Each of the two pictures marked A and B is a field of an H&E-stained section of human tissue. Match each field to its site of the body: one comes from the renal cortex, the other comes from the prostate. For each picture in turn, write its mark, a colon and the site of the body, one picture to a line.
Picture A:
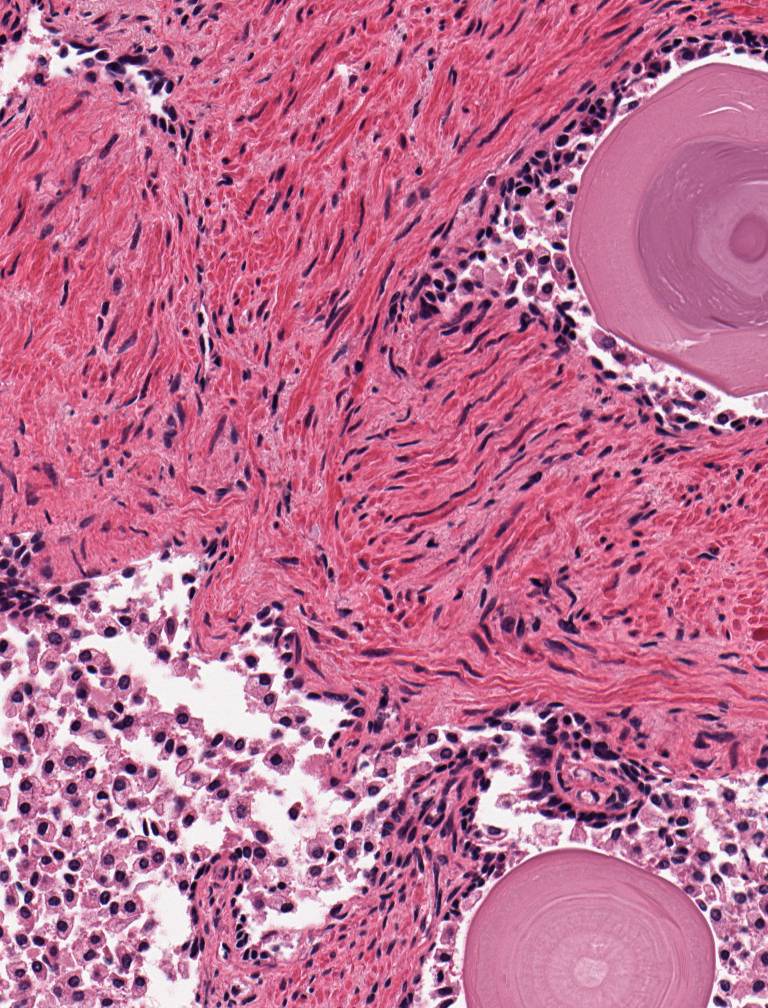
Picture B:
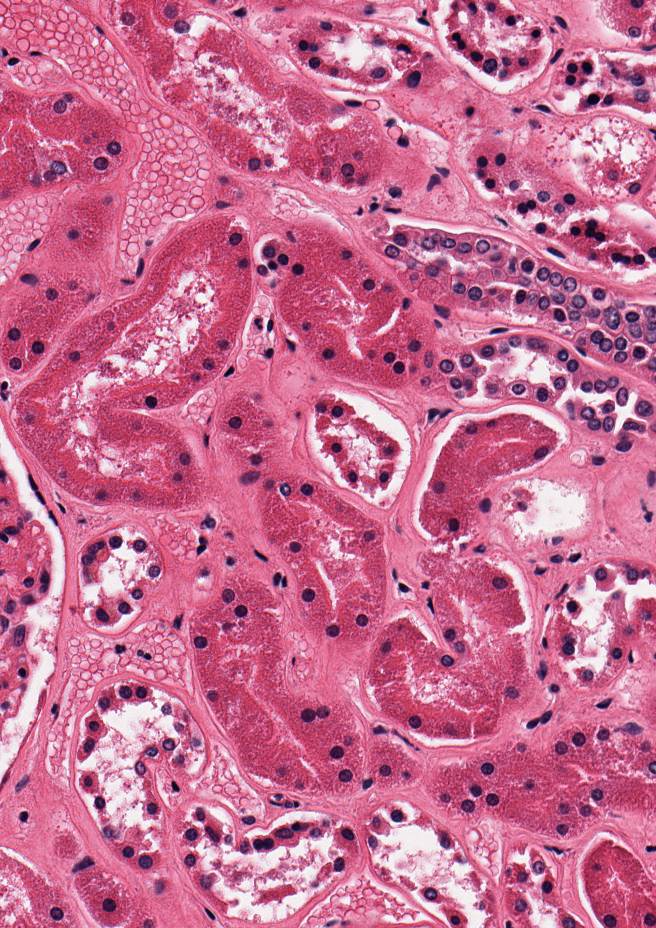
A: prostate
B: renal cortex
